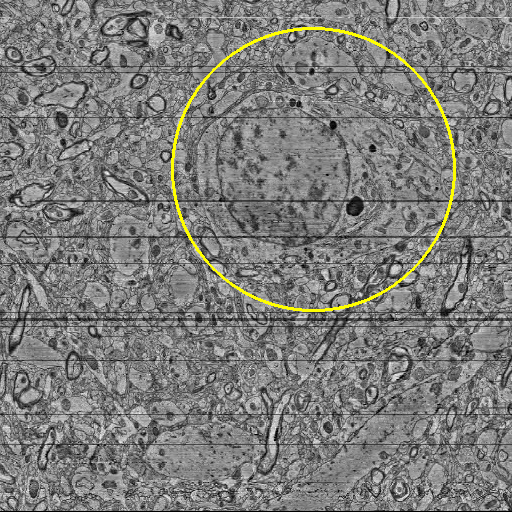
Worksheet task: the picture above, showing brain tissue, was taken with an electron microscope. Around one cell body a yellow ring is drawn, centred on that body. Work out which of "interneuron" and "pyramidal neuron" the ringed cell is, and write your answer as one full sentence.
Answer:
It is a pyramidal neuron whose cell body lies at the centre of the yellow ring.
